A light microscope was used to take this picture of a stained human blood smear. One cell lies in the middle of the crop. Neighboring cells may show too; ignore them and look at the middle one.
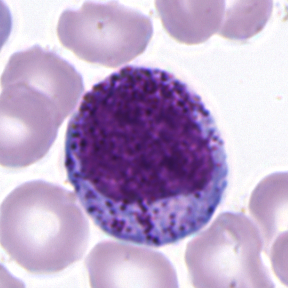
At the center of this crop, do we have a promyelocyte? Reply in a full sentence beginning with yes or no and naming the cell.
Yes, the cell found at the centre of the crop is a promyelocyte.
